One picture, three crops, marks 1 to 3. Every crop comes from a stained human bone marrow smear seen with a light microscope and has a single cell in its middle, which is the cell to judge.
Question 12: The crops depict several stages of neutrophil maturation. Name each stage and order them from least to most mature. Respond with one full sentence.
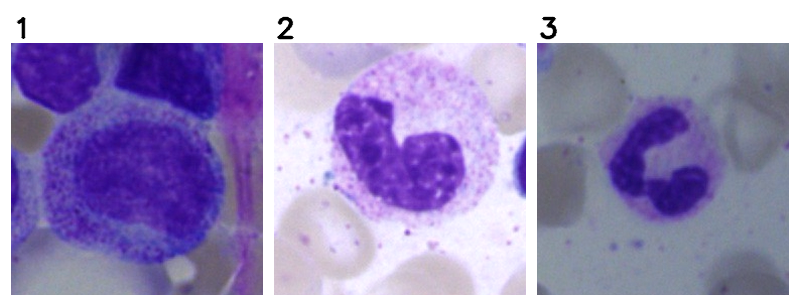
When ranked by maturity from lowest to highest, the order is crop 1 (a metamyelocyte), crop 2 (a band neutrophil) and crop 3 (a segmented neutrophil).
